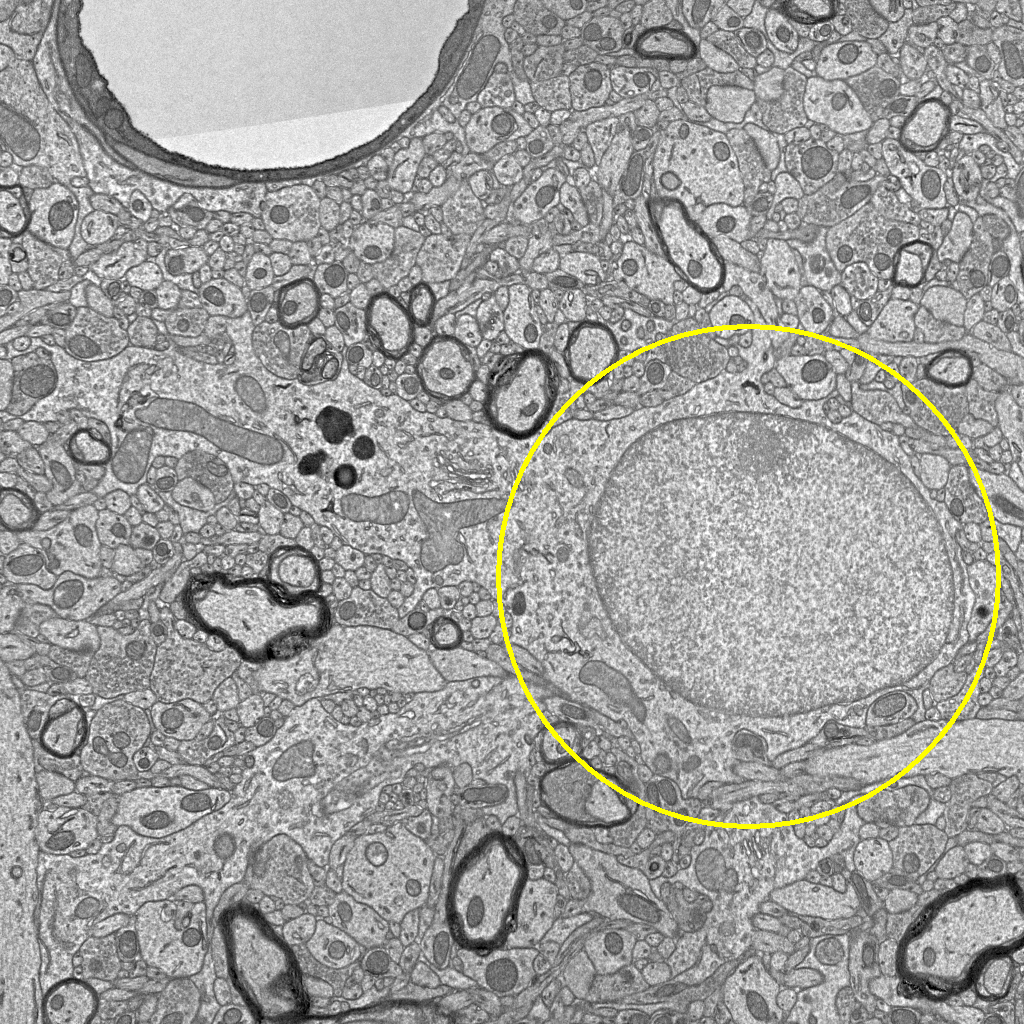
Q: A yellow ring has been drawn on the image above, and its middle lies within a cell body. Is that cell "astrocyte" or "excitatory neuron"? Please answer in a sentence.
The ring's middle lies in the cell body of an astrocyte.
